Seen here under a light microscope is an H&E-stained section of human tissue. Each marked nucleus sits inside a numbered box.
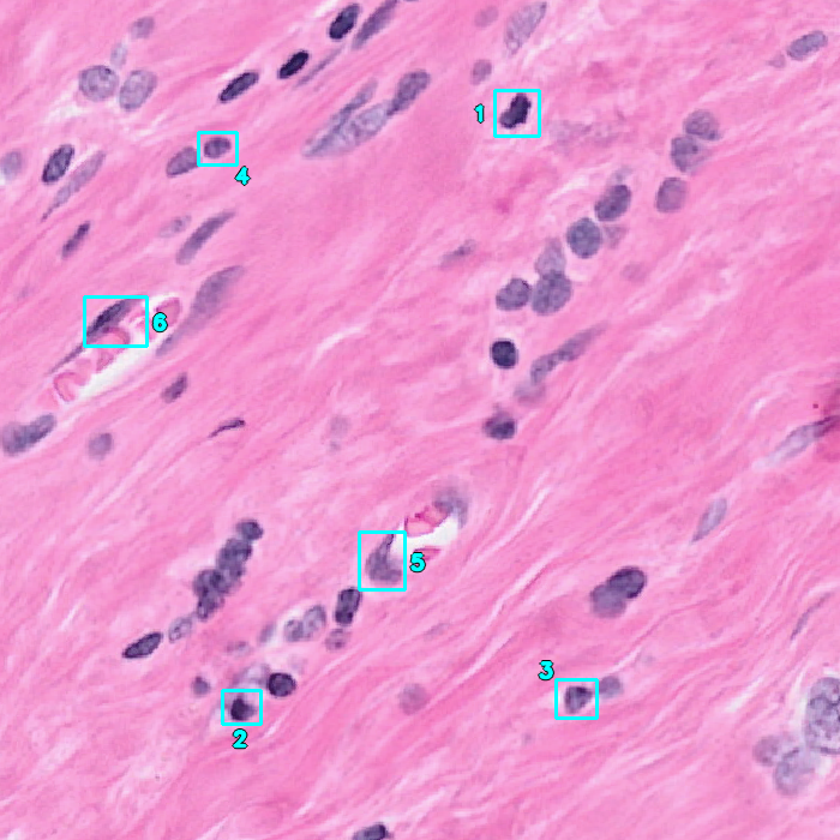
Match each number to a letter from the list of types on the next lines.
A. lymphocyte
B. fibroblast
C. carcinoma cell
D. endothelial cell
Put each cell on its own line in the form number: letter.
1: A
2: A
3: A
4: A
5: D
6: D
